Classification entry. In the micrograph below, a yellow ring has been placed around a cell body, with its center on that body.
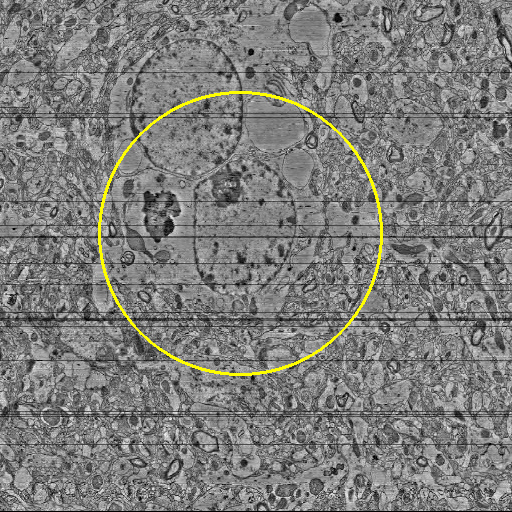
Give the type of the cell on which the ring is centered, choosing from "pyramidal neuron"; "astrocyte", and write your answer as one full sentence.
The cell body at the center of the yellow ring belongs to an astrocyte.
